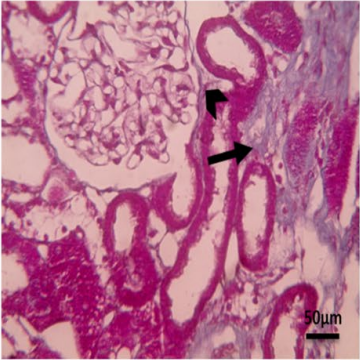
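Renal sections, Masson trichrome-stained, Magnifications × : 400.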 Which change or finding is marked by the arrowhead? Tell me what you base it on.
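Thickened Bowman’s capsule. The arrowhead points to the outer wall around the glomerulus. The capsule wall appears as a distinct band at the glomerular edge.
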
